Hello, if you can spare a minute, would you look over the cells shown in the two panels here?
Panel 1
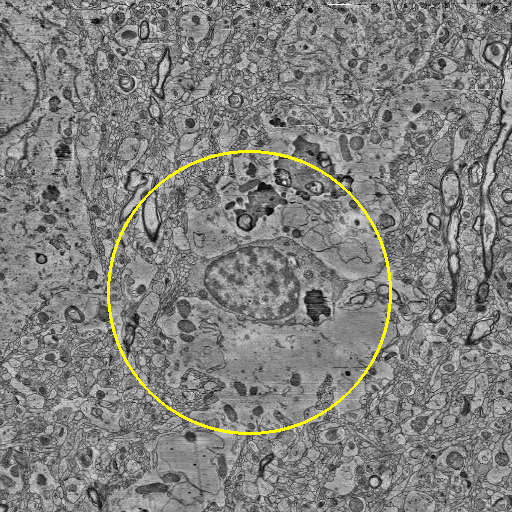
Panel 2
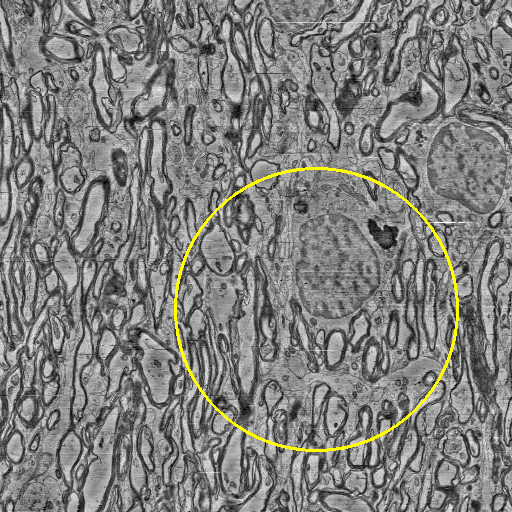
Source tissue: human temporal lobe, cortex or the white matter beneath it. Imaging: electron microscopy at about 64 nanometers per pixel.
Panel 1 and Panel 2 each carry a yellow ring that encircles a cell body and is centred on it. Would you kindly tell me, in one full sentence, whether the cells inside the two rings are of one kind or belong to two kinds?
The cells at the centres of the rings in Panel 1 and Panel 2 are of one kind.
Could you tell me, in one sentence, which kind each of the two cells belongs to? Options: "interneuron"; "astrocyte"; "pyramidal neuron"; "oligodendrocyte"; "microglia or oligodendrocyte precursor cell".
Both cells are the same kind, each one being an oligodendrocyte.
